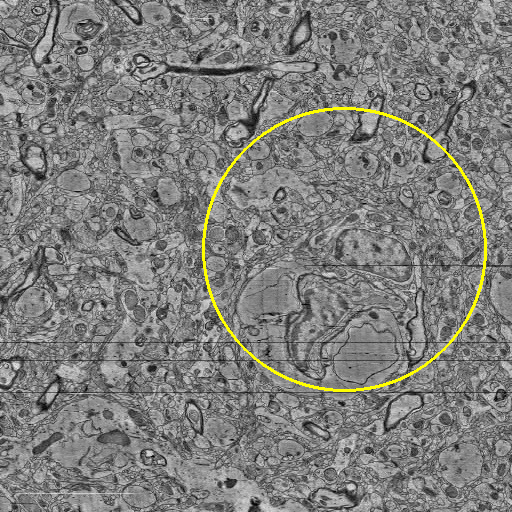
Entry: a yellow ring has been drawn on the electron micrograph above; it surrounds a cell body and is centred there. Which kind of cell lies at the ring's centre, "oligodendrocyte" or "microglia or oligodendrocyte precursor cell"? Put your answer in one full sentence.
The cell sitting at the ring's centre is a microglial cell or oligodendrocyte precursor cell in the micrograph above.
